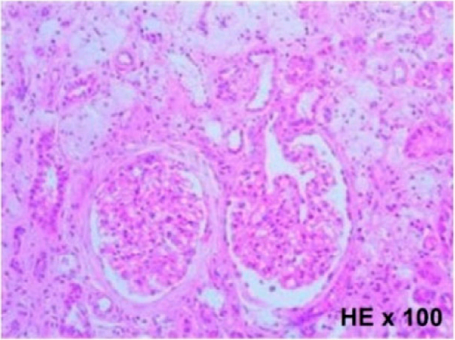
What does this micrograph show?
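Kidney cortex stained pink and purple with two glomeruli side by side in the centre, each a compact round tuft densely packed with purple nuclei and enclosed by a capsule with a clear space around the tuft. The surrounding tubules are lined by epithelial cells with pink, granular-looking cytoplasm, and some tubular profiles appear pale or vacuolated. Scattered small nuclei lie in the interstitium between tubules. A pink fibrous rim surrounds the capsules of the glomeruli.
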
